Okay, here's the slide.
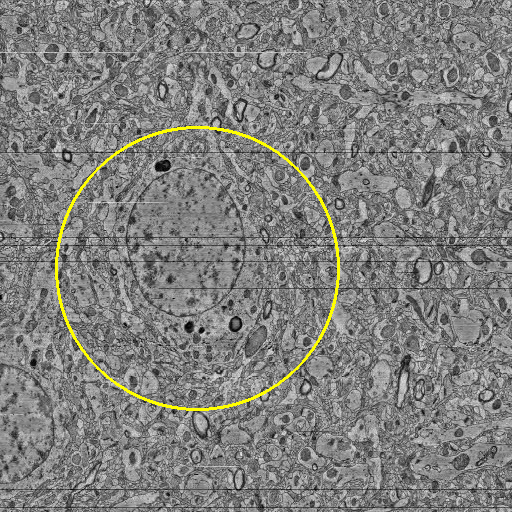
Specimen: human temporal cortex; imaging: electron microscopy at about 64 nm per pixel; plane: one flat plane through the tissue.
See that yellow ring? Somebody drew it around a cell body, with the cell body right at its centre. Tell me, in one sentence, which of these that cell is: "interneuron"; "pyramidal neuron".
The cell in the middle of the ring is a pyramidal neuron.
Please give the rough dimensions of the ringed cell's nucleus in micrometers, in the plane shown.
About 10 by 8 micrometers for the nucleus, in this plane.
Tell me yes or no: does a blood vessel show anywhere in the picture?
No, no blood vessel can be seen.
